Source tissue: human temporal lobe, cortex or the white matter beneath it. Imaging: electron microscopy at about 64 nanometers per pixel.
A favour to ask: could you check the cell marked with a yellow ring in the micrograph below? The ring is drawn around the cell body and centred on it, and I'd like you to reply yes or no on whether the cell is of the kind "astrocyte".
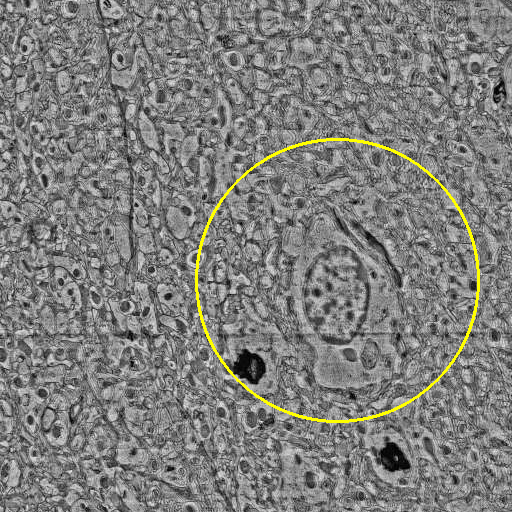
yes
